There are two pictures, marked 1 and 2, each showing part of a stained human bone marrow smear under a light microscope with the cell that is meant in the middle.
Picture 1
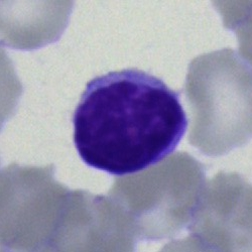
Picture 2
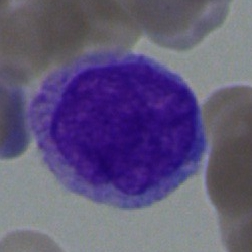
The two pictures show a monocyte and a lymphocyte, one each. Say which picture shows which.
1: lymphocyte
2: monocyte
